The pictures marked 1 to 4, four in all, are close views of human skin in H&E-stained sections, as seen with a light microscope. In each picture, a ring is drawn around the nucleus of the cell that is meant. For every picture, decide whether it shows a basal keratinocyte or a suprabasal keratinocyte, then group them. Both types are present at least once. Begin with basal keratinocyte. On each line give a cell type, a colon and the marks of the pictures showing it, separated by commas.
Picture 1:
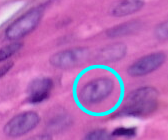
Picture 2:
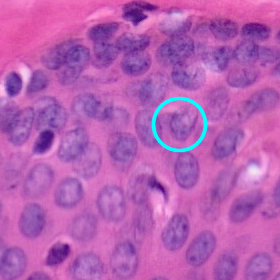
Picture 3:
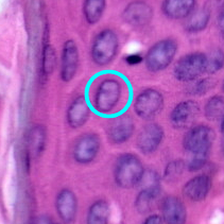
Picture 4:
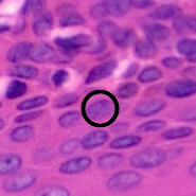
basal keratinocyte: 4
suprabasal keratinocyte: 1, 2, 3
